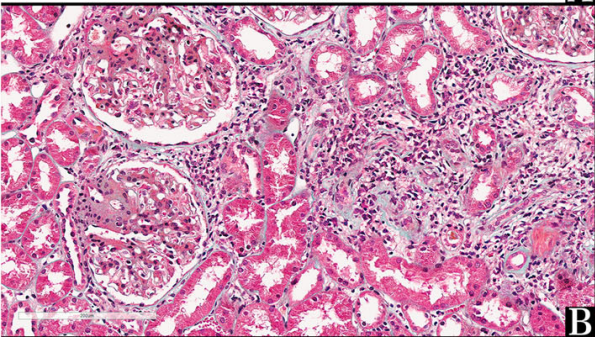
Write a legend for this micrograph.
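Kidney cortex with two glomeruli at the left and surrounding tubules, stained with a trichrome giving red cytoplasm, blue-green collagen and dark nuclei. Between the tubules in the centre and right, the interstitium is widened and packed with small round dark nuclei of infiltrating inflammatory cells. Tubules are lined by red-staining epithelium with open lumens, and some are separated by the cellular infiltrate. A small vessel with red-staining wall lies at the lower right.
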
